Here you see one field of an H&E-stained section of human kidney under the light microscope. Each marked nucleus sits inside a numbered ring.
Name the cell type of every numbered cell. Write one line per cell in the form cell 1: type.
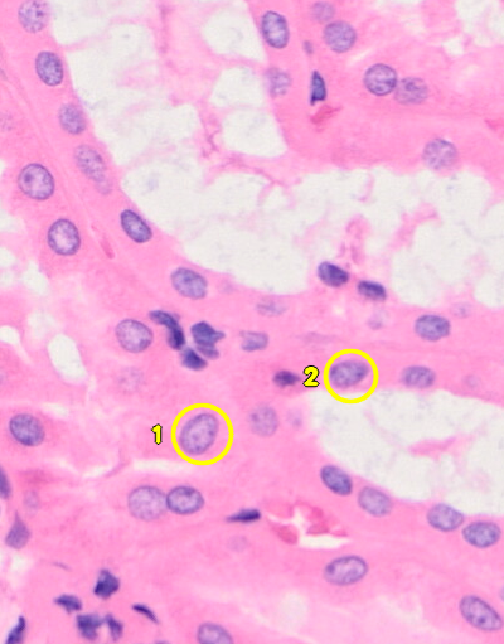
cell 1: proximal tubule cell
cell 2: loop of Henle or distal tubule cell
